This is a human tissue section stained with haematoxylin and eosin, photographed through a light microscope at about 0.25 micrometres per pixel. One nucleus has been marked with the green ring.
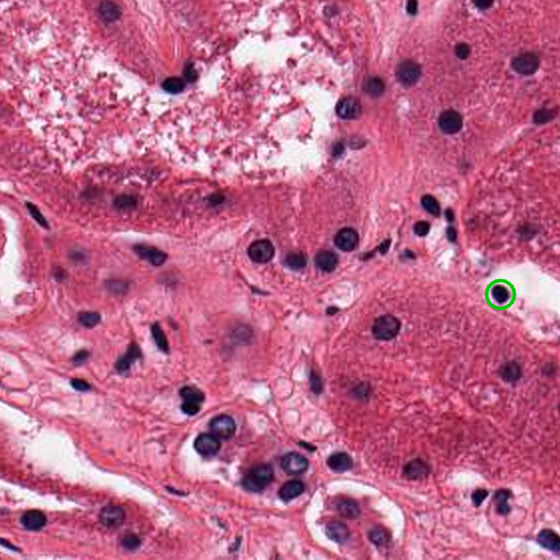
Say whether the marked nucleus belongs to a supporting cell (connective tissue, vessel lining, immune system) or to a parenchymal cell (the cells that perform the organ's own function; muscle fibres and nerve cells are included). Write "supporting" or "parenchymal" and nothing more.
supporting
